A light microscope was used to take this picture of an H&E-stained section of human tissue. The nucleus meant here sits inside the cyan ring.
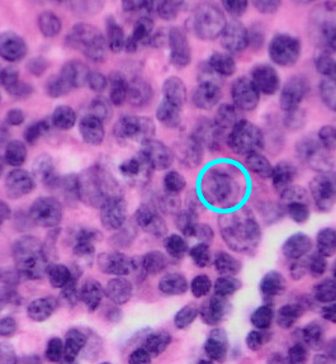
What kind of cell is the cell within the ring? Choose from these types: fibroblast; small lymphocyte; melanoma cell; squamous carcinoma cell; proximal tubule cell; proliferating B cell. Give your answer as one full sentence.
Cell type answer for this item: the cell within the ring is a proliferating B cell.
